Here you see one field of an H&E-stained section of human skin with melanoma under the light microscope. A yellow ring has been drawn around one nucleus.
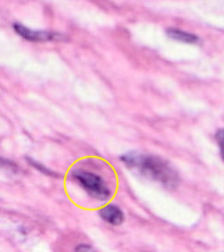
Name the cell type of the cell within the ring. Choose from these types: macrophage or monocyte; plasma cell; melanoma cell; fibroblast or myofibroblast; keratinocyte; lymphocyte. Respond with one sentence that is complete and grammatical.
What the cell within the ring represents is a macrophage or monocyte.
